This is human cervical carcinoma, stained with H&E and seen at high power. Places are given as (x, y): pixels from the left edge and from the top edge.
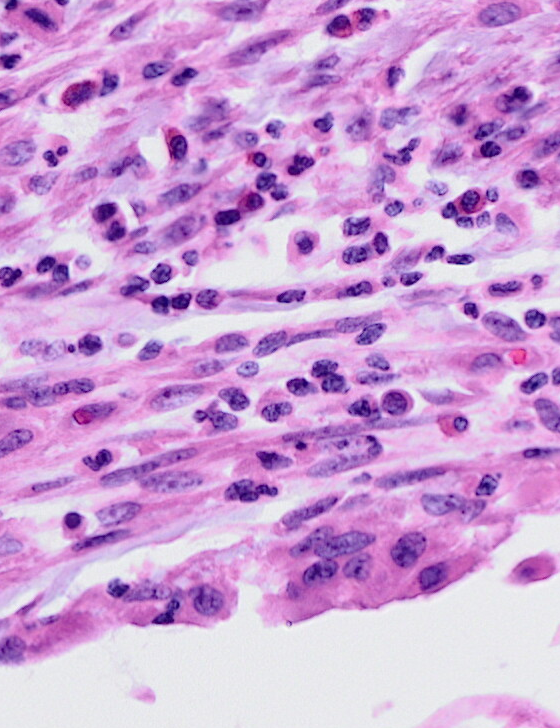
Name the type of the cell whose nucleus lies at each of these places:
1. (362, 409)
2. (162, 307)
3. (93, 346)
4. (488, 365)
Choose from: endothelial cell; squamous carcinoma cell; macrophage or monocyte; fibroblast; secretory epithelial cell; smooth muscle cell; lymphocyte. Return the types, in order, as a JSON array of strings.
["lymphocyte", "lymphocyte", "lymphocyte", "endothelial cell"]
